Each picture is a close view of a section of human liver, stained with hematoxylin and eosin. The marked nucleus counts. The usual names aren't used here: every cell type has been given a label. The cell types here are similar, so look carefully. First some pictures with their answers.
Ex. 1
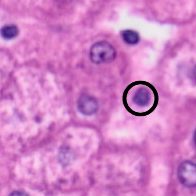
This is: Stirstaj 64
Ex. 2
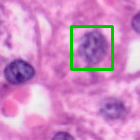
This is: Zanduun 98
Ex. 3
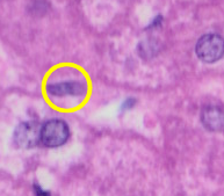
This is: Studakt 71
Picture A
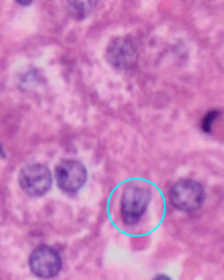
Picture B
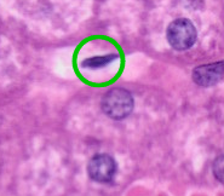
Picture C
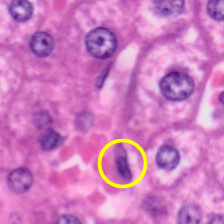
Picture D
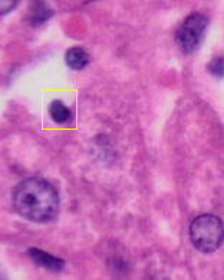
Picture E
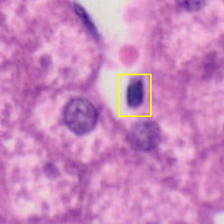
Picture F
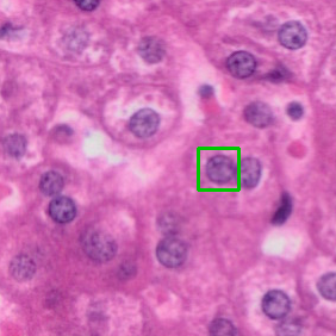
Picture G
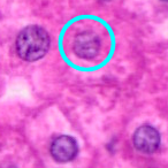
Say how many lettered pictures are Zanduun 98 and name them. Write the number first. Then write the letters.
2: F, G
